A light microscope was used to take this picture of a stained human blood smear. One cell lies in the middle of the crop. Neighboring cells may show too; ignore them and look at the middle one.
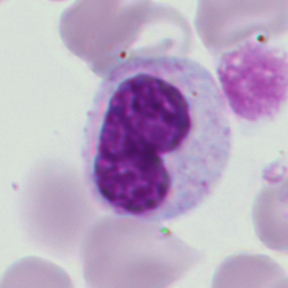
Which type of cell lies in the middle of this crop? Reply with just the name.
band neutrophil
